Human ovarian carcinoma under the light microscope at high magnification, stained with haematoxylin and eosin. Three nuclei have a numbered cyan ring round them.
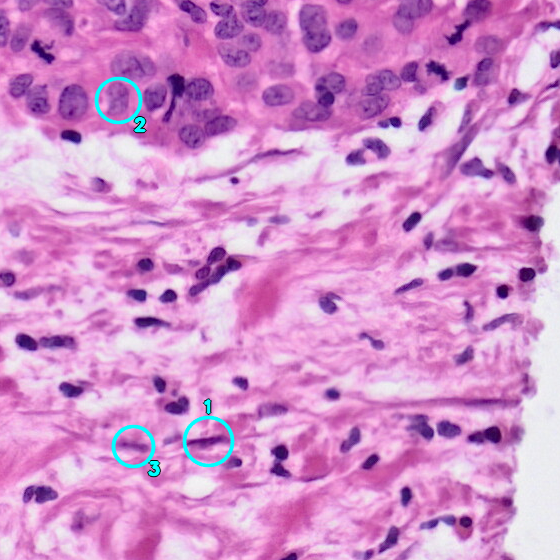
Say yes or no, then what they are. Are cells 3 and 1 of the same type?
Yes, cells 3 and 1 are alike in being fibroblasts.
